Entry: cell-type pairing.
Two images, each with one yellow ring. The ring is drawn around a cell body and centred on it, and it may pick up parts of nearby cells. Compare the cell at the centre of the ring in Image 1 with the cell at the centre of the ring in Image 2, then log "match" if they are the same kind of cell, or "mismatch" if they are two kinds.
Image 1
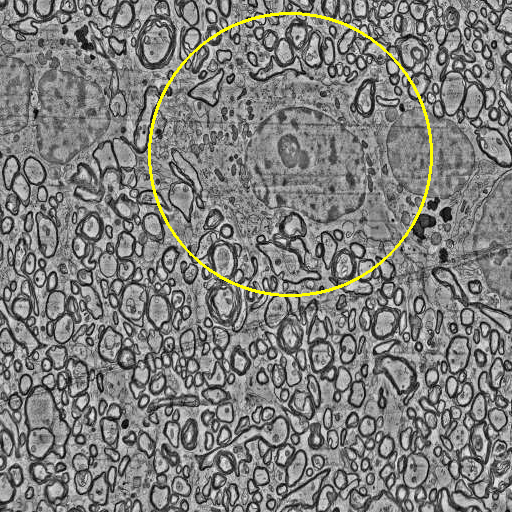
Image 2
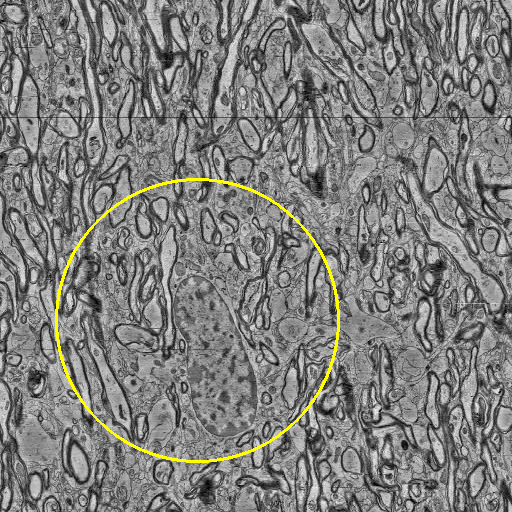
mismatch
